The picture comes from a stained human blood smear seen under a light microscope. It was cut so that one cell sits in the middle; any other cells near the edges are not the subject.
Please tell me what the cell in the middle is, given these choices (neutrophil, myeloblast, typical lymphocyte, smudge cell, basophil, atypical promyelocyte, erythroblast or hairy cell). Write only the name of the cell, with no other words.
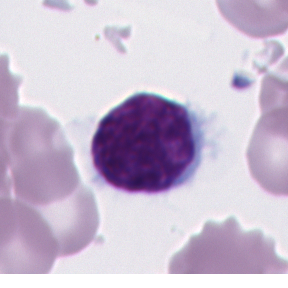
hairy cell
